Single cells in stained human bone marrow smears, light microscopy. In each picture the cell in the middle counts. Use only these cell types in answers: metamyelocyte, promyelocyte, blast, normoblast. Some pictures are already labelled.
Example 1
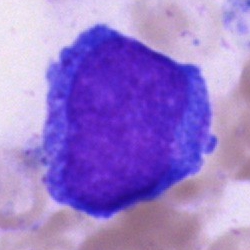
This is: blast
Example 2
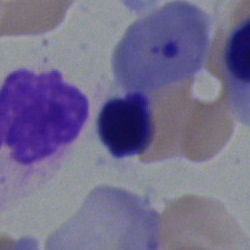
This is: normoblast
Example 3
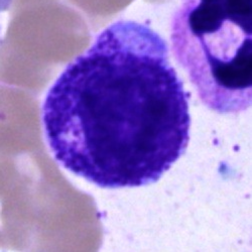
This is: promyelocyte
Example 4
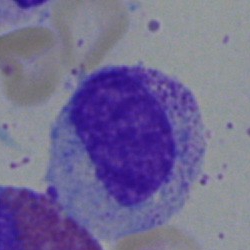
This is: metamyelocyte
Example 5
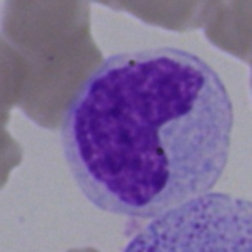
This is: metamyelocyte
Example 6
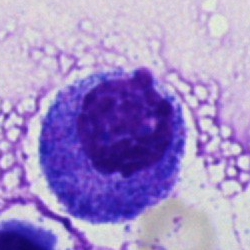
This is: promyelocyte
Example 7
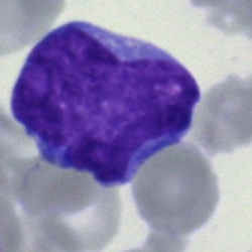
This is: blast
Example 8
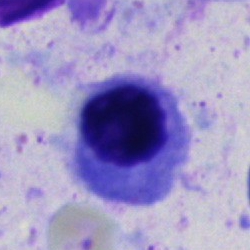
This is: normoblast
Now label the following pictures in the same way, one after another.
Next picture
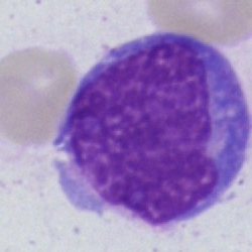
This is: blast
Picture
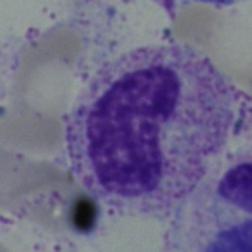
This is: metamyelocyte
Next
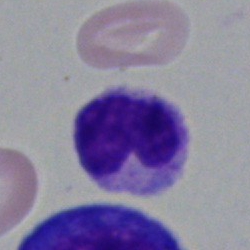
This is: metamyelocyte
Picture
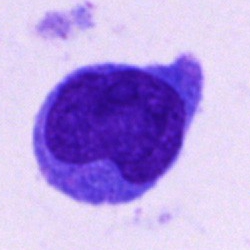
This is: blast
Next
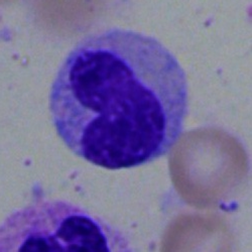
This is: metamyelocyte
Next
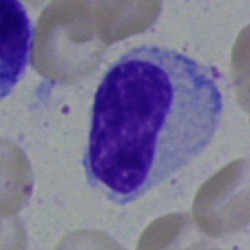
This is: metamyelocyte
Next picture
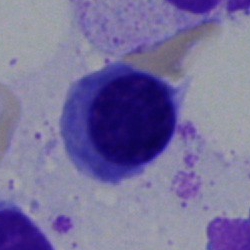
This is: normoblast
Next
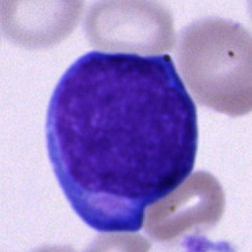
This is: blast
